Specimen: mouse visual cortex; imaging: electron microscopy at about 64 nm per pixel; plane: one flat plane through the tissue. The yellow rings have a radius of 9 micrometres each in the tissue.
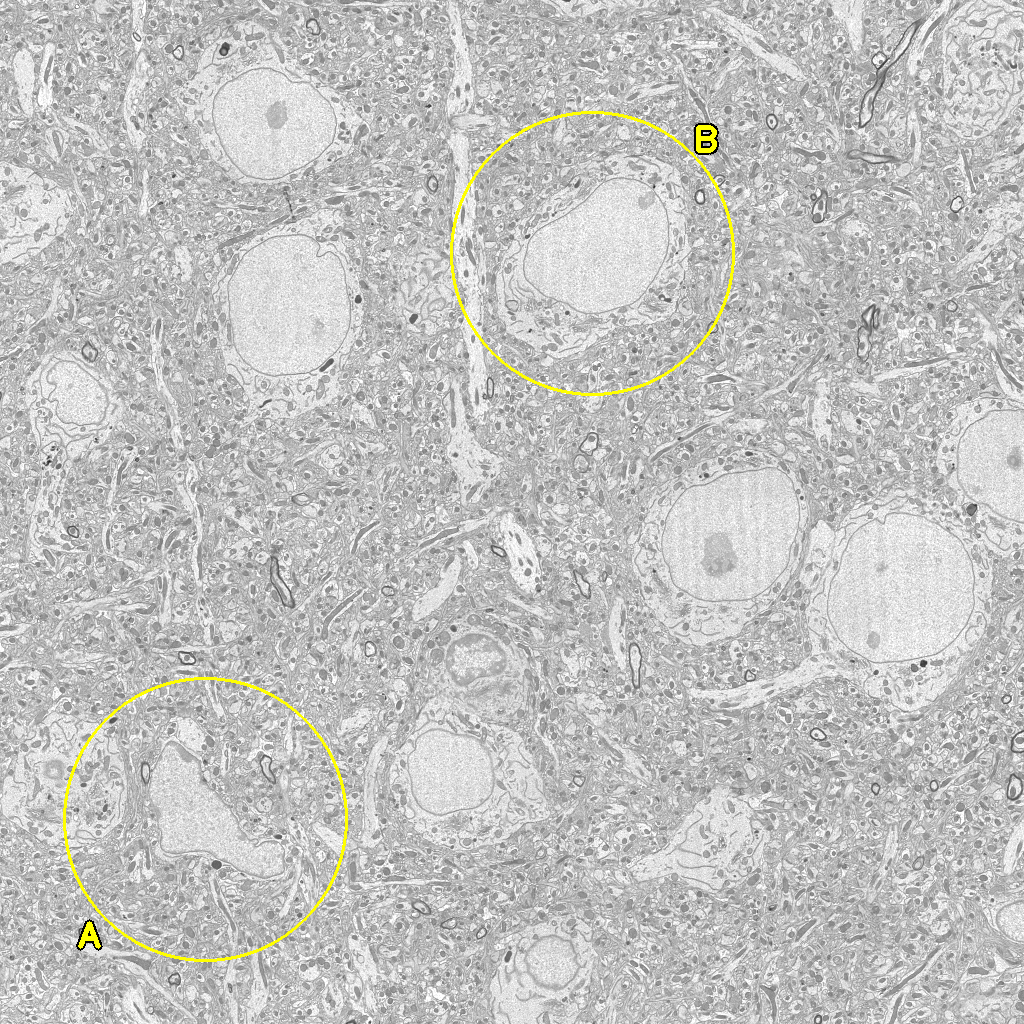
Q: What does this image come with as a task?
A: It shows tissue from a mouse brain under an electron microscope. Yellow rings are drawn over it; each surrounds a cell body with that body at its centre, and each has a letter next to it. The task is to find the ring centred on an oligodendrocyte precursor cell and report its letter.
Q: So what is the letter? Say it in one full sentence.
It is A, the letter of the ring centred on the cell asked for in the picture.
